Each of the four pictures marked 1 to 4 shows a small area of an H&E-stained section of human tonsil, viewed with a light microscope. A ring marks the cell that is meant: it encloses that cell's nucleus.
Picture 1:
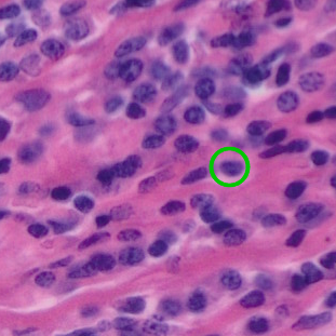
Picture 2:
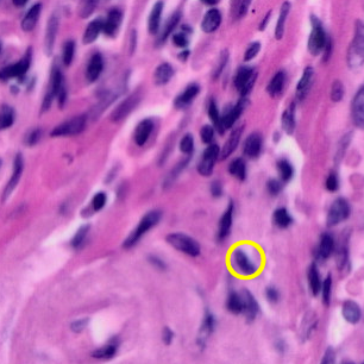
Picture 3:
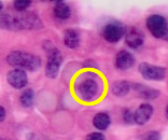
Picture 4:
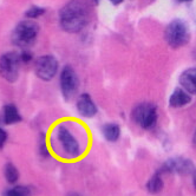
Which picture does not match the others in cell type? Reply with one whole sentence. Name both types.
All pictures except 3 show mast cells; picture 3 shows a plasma cell.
